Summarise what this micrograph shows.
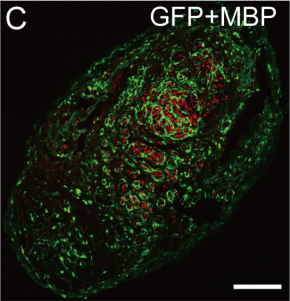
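The red rings are small, round and hollow, and are grouped together in the middle of the section. Green lines run around and between the groups of rings, enclosing them like a sheath. The outer parts of the section consist of looser green tissue with few red profiles.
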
